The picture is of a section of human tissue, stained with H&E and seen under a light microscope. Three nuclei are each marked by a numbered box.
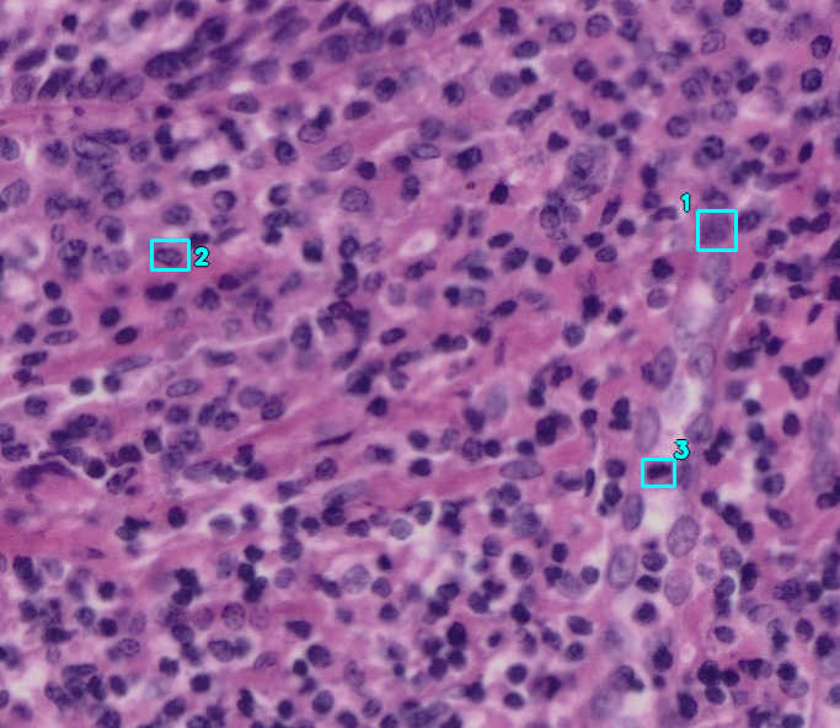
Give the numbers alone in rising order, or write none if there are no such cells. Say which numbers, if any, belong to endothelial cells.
1, 3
